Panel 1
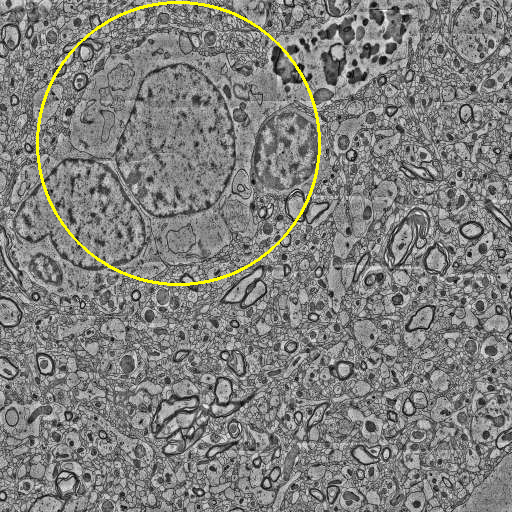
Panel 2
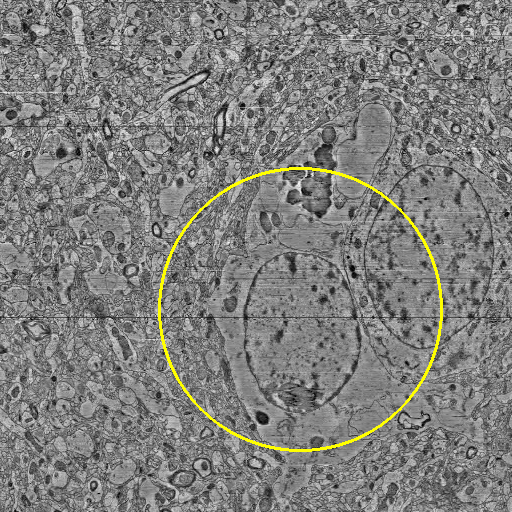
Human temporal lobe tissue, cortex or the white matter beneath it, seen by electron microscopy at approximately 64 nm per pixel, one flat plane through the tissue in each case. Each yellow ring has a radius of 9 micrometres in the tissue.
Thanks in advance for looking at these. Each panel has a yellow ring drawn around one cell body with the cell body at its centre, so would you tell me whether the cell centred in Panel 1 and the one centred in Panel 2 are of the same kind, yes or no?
yes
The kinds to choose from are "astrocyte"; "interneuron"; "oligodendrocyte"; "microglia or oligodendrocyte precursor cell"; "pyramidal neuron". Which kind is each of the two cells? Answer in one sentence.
In the first picture and in the second, the ring is centred on an astrocyte.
